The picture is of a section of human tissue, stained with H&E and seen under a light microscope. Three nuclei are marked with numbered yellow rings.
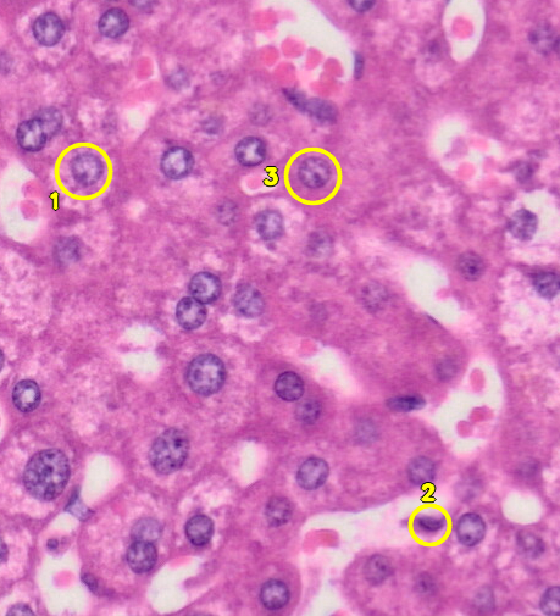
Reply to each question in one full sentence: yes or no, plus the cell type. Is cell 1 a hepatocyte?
Yes, exactly, the cell numbered 1 is a hepatocyte.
